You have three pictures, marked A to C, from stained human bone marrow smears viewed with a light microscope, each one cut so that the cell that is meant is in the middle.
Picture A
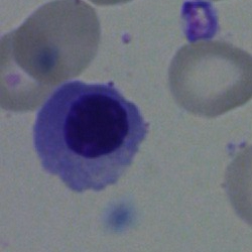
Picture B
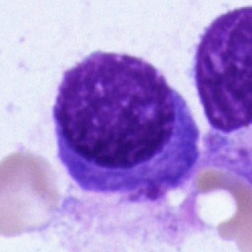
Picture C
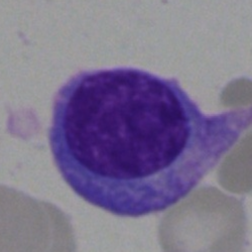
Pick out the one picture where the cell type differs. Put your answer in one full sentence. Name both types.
All pictures except A show plasma cells; picture A shows an erythroblast.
